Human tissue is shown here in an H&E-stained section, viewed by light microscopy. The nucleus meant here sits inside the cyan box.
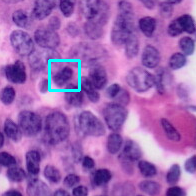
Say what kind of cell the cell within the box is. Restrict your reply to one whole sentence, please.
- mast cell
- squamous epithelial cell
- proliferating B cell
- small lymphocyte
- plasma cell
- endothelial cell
On this particular slide, the cell within the box is a proliferating B cell.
